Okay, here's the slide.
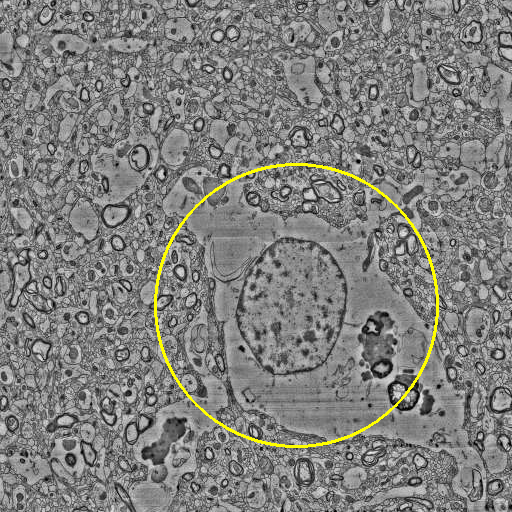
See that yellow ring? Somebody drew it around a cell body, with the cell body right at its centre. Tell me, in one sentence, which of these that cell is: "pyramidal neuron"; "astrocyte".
The cell in the middle of the ring is an astrocyte.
